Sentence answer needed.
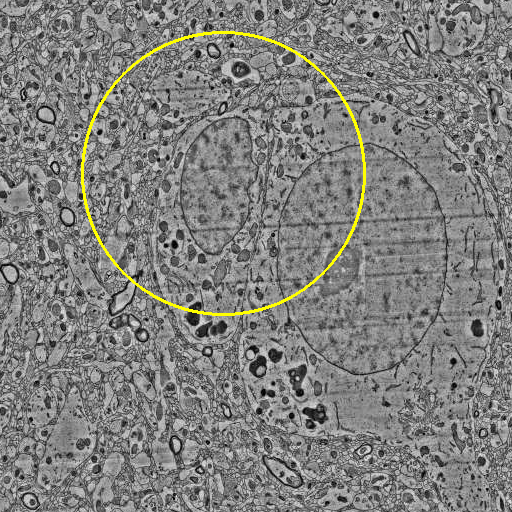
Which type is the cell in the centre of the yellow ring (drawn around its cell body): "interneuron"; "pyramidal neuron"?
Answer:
In the centre of the yellow ring is an interneuron.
